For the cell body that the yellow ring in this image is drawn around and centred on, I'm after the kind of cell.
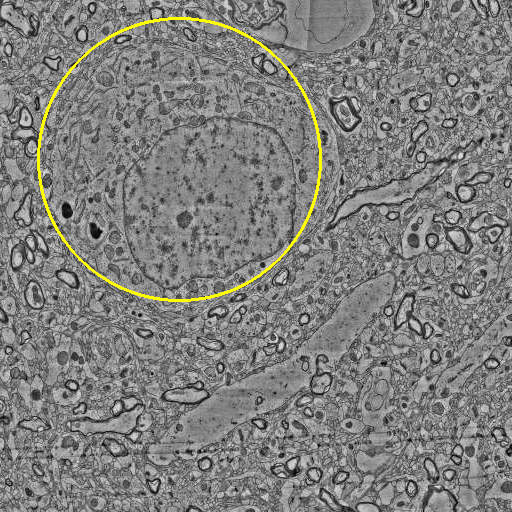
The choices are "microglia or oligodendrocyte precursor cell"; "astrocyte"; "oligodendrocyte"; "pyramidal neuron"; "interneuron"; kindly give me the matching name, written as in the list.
interneuron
